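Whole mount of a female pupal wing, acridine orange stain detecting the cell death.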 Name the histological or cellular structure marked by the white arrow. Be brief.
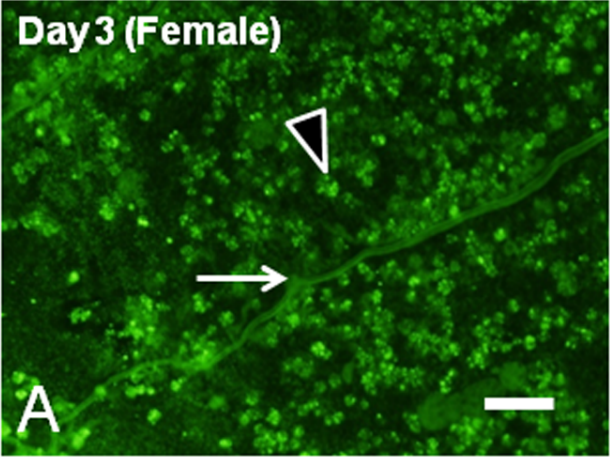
Trachea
